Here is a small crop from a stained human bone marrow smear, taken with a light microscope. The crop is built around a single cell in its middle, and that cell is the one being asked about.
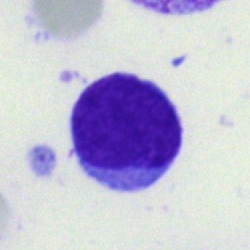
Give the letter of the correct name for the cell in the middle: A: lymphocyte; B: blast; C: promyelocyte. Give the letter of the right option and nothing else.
A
